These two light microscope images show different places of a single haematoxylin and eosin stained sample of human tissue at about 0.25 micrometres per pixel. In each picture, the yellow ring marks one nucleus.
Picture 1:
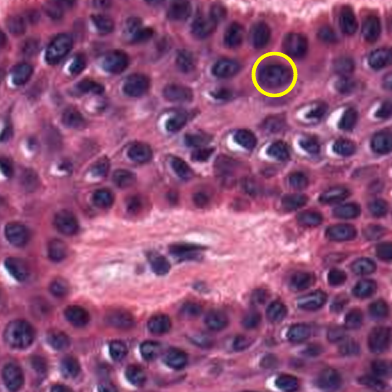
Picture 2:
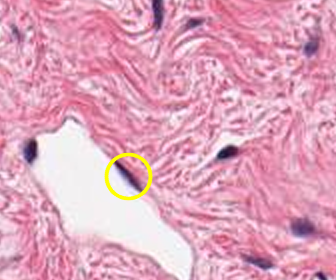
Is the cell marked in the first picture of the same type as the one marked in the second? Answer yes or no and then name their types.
No, the first is a squamous epithelial cell and the second an endothelial cell.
